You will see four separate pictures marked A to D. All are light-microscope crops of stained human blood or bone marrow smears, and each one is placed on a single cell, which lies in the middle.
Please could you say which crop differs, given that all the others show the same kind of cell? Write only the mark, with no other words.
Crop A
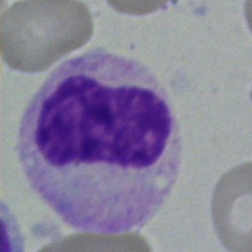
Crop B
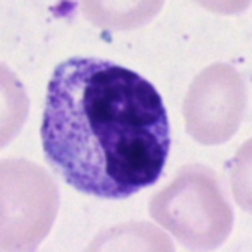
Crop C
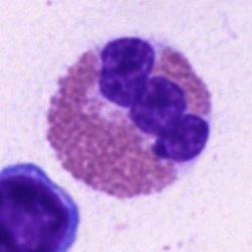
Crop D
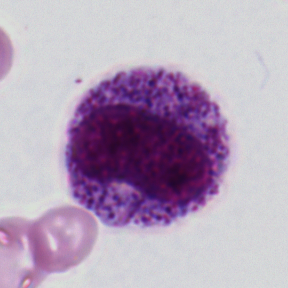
C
